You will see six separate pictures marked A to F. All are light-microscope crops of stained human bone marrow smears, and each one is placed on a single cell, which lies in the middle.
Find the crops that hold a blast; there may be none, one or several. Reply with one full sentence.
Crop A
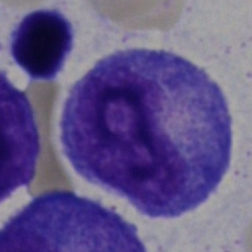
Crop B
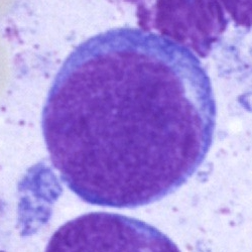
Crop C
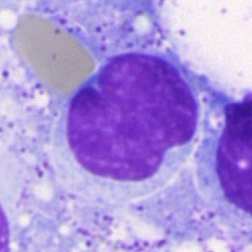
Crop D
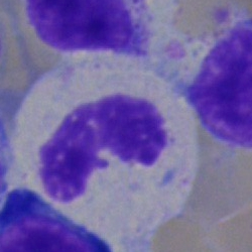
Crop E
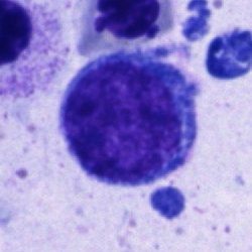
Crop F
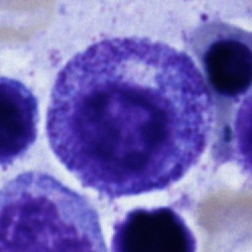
Crops B, C and E contain blasts as their central cells.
